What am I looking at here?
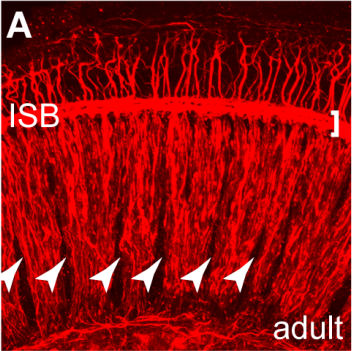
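This is a flat-mounted cochlea in which nerve fibres are shown in red. Near the top a thick, bright band of fibres runs along the length of the tissue, the inner spiral bundle, and thin fibres cross beyond it. Below the band the neurites gather into parallel radial bundles, separated by dark gaps at fairly even intervals, which the arrowheads point to.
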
